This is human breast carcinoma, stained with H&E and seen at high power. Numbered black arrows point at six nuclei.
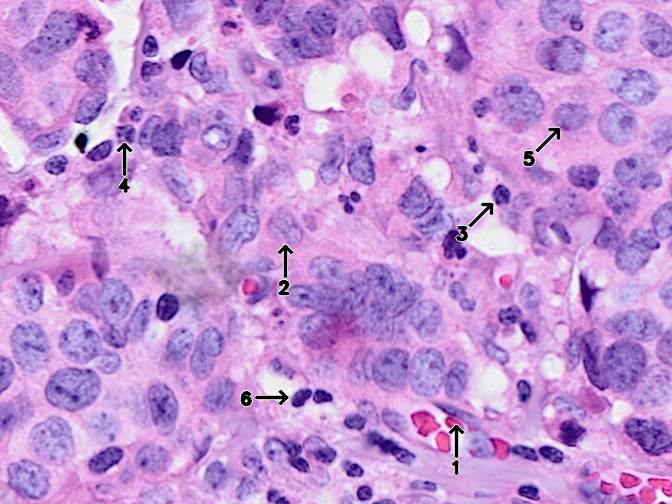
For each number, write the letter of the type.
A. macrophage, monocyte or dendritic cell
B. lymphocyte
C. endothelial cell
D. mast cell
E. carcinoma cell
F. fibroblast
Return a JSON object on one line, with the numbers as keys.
{"1": "C", "2": "E", "3": "B", "4": "B", "5": "E", "6": "B"}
